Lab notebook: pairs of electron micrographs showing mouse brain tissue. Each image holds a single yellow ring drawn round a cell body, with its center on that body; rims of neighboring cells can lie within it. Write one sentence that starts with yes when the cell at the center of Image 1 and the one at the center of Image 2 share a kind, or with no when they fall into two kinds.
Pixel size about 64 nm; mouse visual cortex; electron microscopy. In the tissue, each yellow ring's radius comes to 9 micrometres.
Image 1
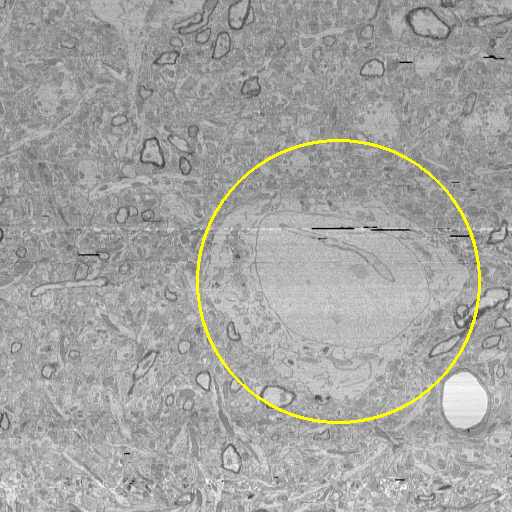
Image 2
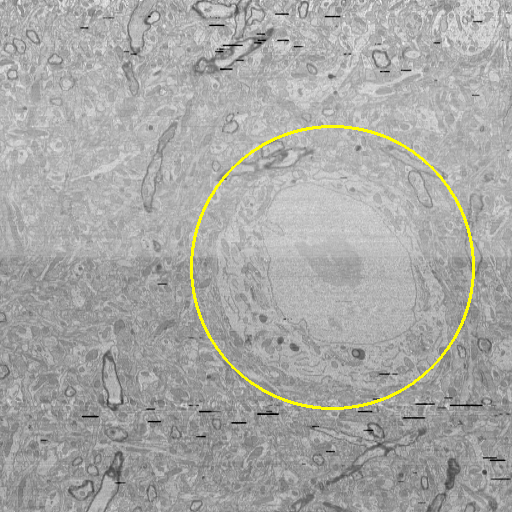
Yes, the centered cell in Image 1 and the centered cell in Image 2 are of one kind.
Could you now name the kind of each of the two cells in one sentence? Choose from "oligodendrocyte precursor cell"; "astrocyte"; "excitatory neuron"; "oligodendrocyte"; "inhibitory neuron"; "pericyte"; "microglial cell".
In the first picture and in the second, the ring is centred on an excitatory neuron.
